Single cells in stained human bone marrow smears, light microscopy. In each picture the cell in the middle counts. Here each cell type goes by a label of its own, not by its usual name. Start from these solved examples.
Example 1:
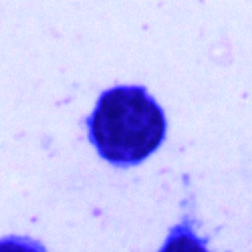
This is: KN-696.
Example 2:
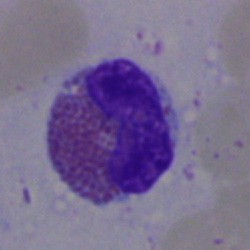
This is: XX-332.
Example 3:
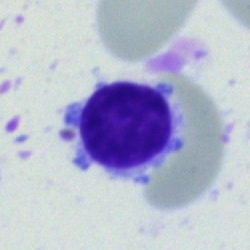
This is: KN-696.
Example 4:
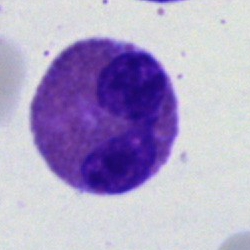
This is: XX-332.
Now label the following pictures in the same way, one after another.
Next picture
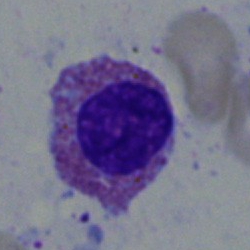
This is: XX-332.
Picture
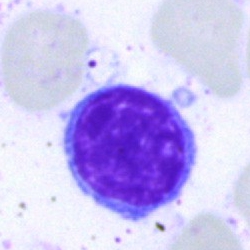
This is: KN-696.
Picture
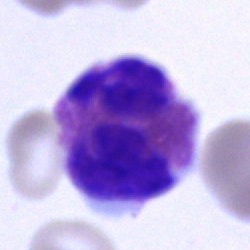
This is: XX-332.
